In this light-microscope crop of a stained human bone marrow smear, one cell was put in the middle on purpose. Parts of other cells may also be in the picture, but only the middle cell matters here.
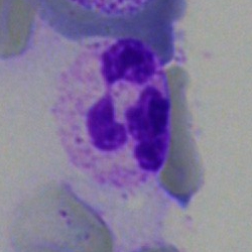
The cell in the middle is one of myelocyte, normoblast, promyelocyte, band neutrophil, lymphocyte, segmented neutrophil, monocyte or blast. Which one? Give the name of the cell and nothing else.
segmented neutrophil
